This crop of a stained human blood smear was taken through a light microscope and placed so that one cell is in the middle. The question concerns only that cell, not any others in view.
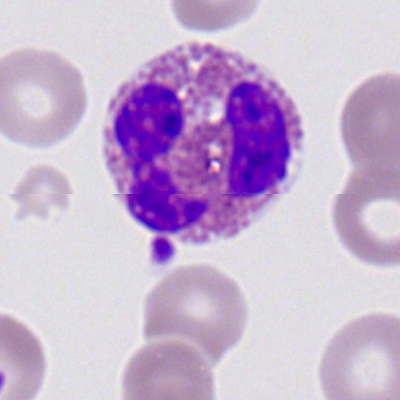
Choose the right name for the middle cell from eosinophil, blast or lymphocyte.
eosinophil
